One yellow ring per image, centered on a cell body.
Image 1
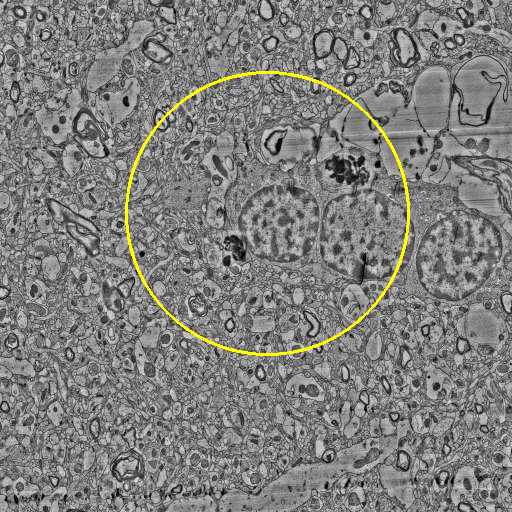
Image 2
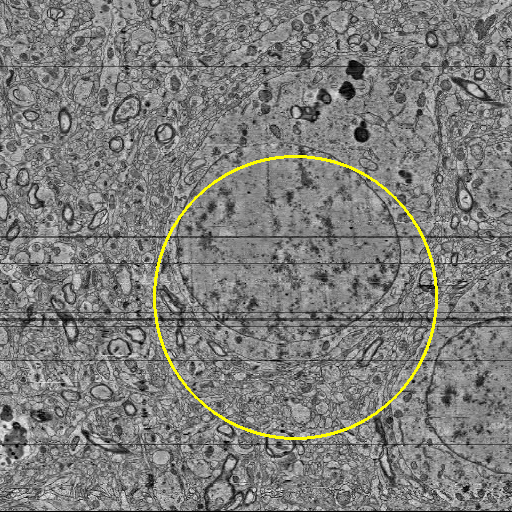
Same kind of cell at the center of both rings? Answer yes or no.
no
